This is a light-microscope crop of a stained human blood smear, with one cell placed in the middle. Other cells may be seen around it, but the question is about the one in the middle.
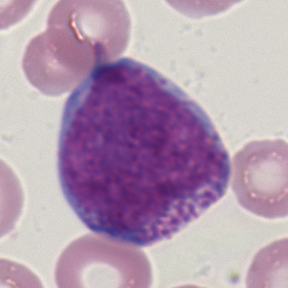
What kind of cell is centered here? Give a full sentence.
Looking at the middle of the crop, the cell there is a promyelocyte.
